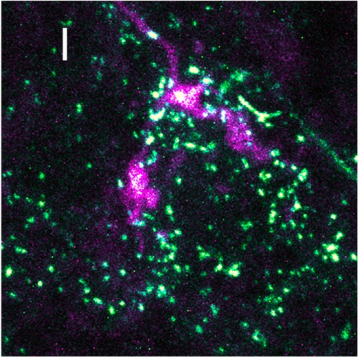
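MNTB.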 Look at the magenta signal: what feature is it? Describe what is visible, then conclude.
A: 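A magenta fibre ends in swollen patches. Cyan puncta cluster around and beside the magenta patches. That points to this answer: labeled terminal.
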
